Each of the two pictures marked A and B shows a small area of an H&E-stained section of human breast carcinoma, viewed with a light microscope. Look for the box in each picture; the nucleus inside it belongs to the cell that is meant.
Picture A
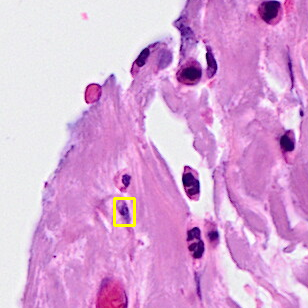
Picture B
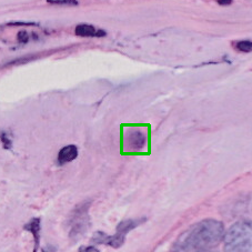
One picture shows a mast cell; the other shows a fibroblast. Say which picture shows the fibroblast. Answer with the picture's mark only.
A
